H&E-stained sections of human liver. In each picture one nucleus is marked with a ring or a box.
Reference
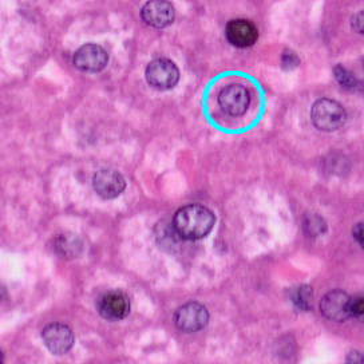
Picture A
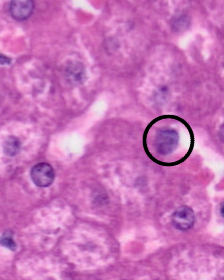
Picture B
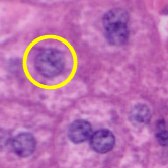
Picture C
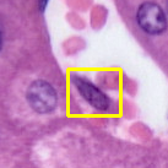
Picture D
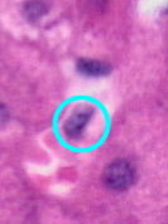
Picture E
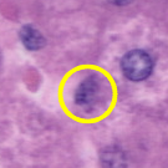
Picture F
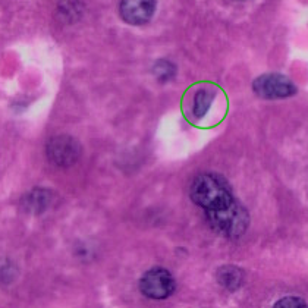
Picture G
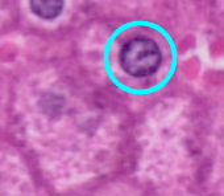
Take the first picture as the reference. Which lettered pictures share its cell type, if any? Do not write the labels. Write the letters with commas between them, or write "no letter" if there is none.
B, G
